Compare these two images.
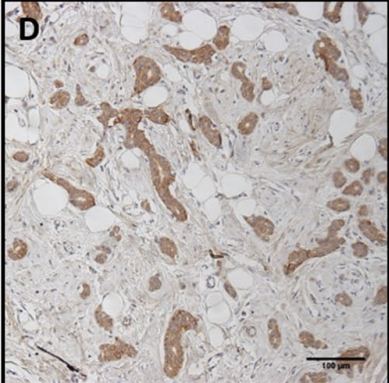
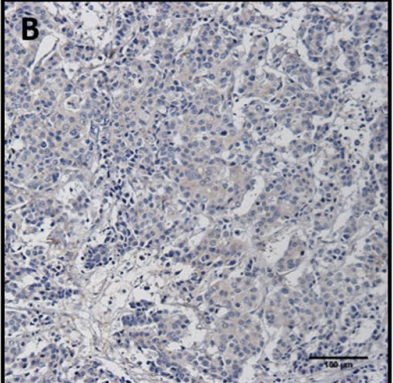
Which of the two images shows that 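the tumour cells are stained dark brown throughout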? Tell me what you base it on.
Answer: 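First image: the epithelial nests and cords are uniformly dark brown. Second image: the tumour cells are mostly pale grey-blue with only faint tan tinge. That points to this answer: the first image.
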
